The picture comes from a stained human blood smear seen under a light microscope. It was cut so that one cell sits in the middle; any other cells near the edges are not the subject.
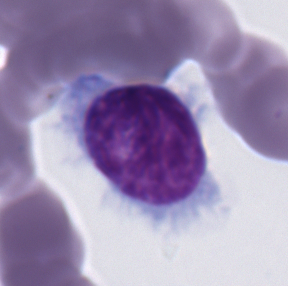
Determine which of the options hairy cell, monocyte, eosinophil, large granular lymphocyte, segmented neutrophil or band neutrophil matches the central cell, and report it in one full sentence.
In this crop, the cell at the very middle is a hairy cell.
